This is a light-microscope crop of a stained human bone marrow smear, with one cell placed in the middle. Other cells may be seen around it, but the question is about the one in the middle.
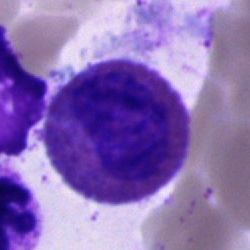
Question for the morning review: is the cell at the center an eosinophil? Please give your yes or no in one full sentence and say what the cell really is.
Yes, the middle of the crop is occupied by an eosinophil.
